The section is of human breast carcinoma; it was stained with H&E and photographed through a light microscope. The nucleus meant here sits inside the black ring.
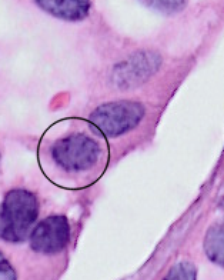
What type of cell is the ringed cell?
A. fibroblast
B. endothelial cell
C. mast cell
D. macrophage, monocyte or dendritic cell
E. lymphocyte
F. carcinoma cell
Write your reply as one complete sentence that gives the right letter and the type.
Option F is the one to take: the ringed cell is a carcinoma cell.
